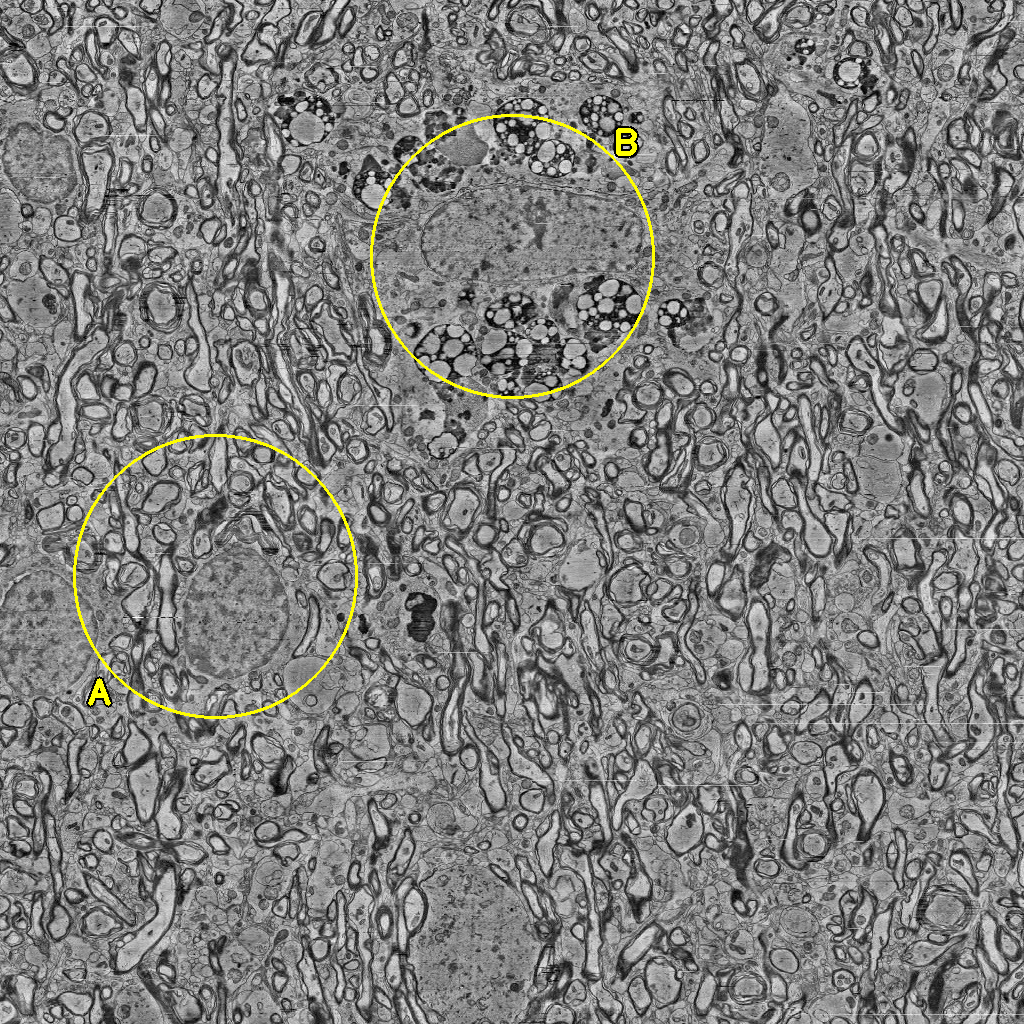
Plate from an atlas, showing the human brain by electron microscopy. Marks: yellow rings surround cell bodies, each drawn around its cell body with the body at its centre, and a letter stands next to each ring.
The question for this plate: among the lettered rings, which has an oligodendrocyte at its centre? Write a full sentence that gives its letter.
Ring A holds at its centre the cell that the question asks about in the picture.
